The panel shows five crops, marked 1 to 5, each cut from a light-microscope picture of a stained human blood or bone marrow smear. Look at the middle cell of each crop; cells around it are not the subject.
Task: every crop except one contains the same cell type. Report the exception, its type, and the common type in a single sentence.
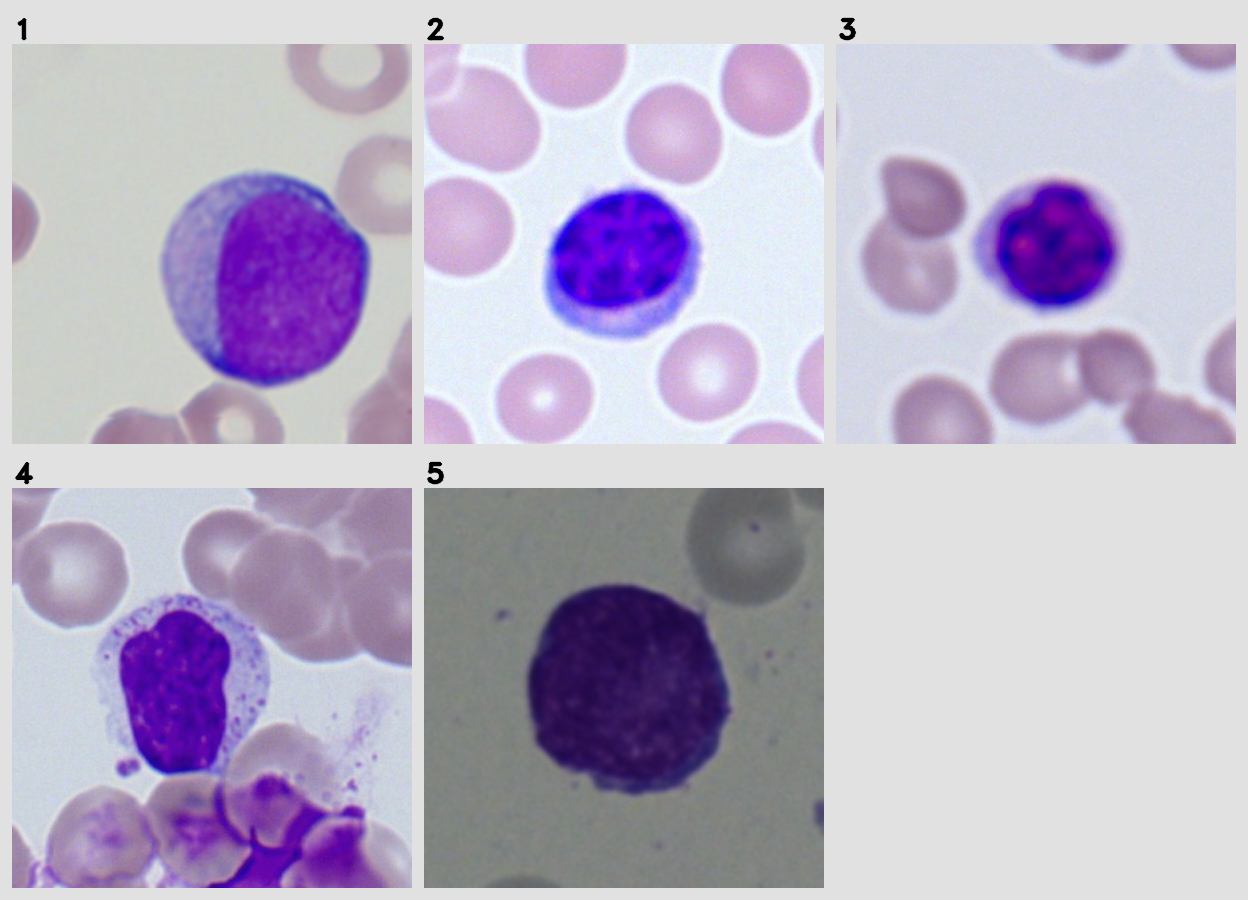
Crop 1 is a blast, unlike the other crops, which all show lymphocytes.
